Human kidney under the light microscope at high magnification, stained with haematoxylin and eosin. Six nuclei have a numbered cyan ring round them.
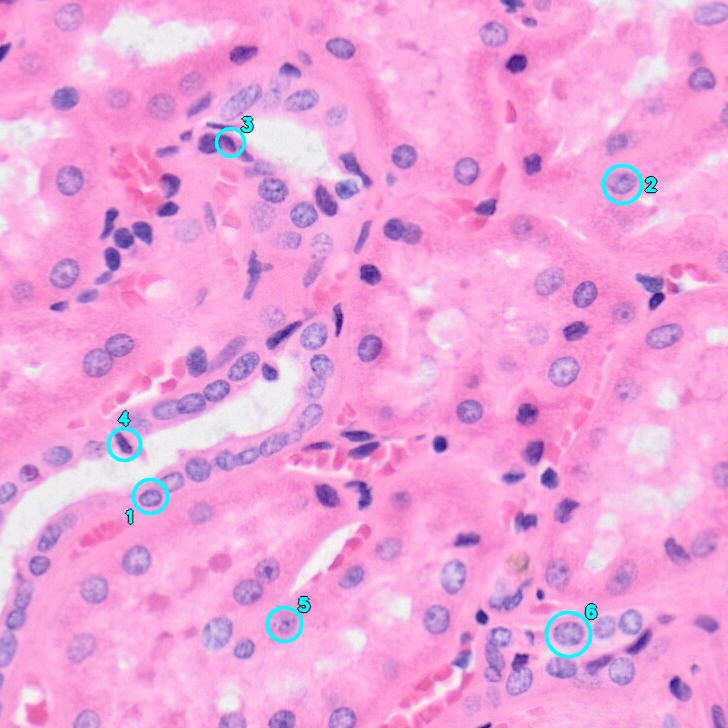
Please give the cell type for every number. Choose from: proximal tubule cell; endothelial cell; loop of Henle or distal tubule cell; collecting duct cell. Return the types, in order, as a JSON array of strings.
["collecting duct cell", "proximal tubule cell", "collecting duct cell", "collecting duct cell", "proximal tubule cell", "collecting duct cell"]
